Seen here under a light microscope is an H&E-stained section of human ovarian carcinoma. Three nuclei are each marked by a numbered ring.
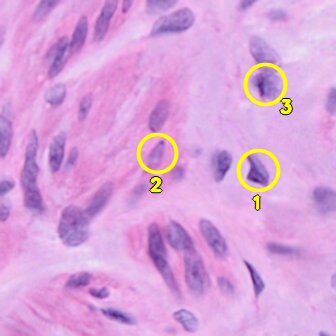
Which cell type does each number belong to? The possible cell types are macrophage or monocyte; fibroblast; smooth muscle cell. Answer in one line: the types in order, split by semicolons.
fibroblast; smooth muscle cell; fibroblast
